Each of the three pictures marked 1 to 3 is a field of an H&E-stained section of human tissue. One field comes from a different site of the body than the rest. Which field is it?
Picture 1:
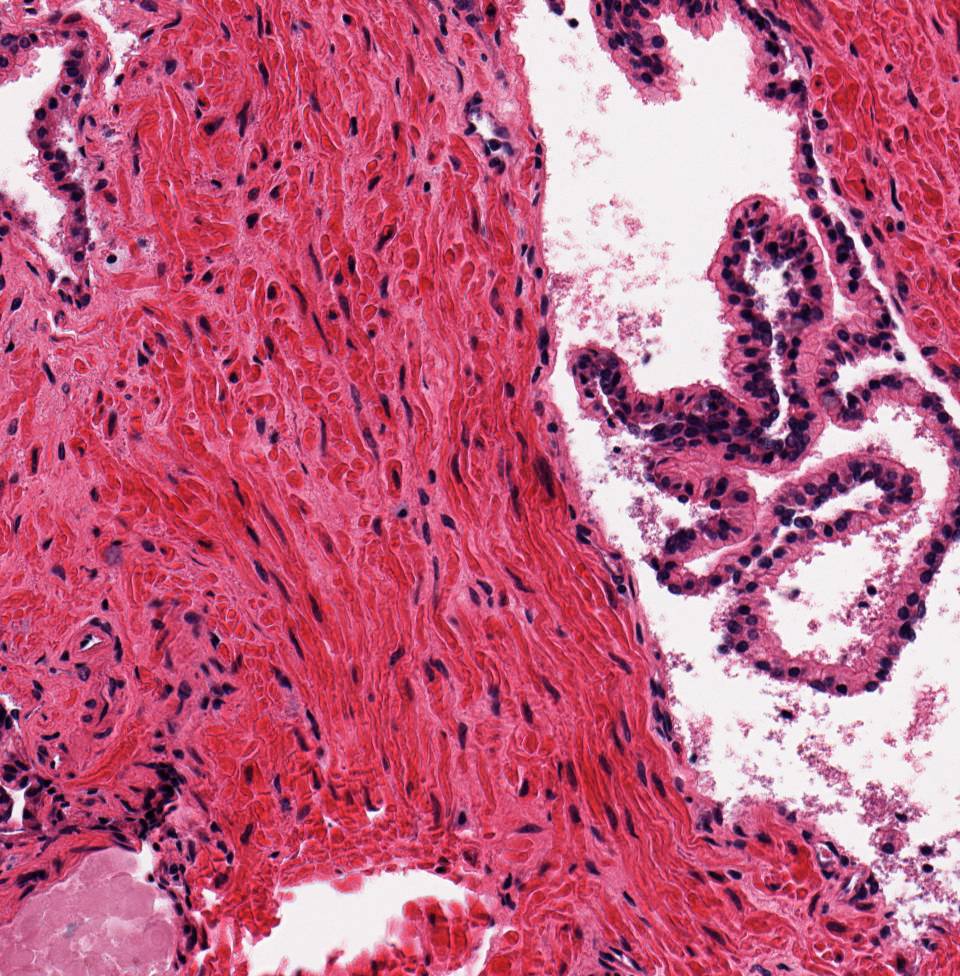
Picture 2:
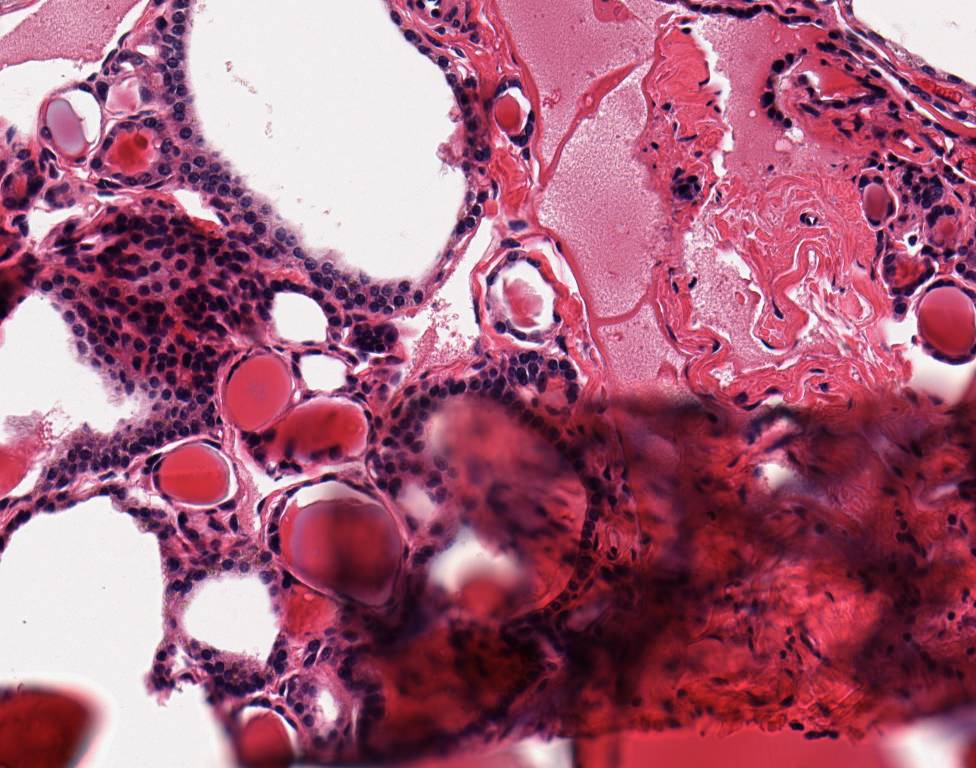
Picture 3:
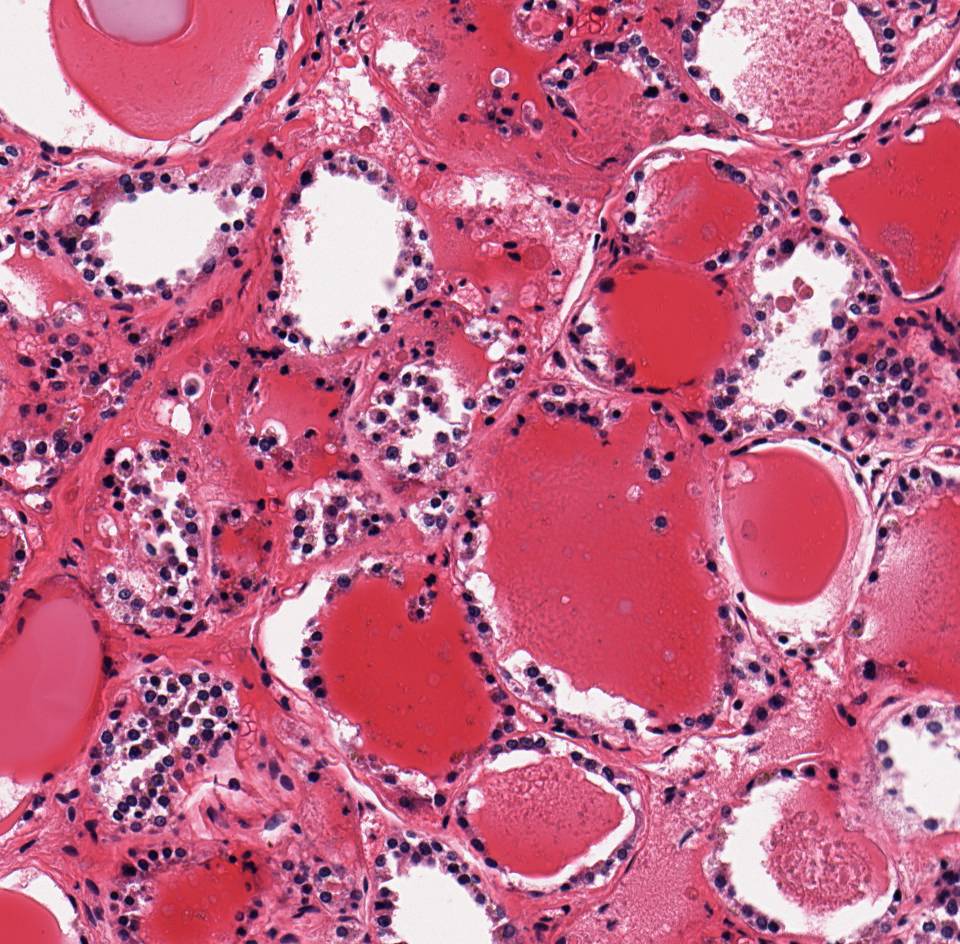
1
